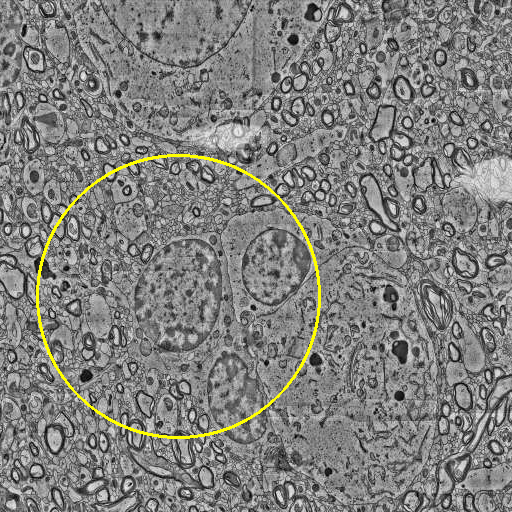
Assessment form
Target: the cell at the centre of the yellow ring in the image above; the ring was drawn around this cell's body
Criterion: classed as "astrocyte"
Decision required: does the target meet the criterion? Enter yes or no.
no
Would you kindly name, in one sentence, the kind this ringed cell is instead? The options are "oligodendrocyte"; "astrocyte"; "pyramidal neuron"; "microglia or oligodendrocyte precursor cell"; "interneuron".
The cell enclosed by the ring is an oligodendrocyte.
